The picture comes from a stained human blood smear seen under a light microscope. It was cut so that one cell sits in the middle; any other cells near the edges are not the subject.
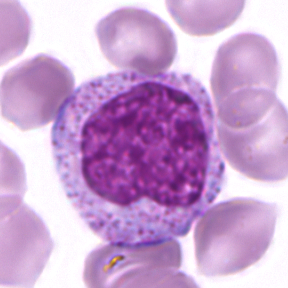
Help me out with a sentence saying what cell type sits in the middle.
Among the cells in view, the one in the middle is a myelocyte.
